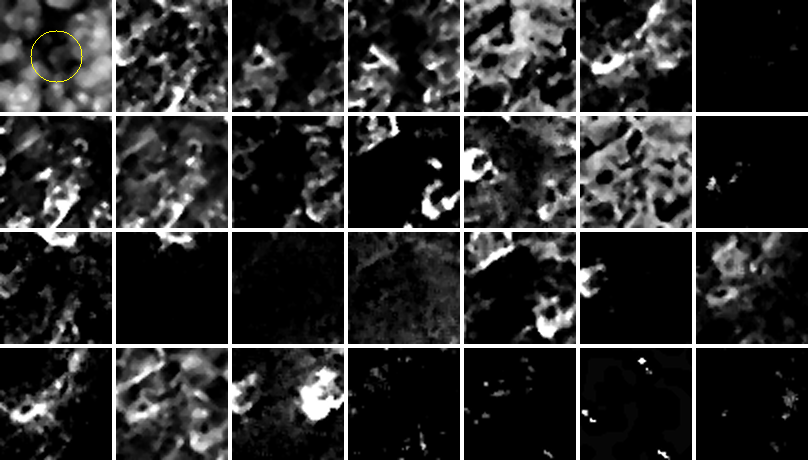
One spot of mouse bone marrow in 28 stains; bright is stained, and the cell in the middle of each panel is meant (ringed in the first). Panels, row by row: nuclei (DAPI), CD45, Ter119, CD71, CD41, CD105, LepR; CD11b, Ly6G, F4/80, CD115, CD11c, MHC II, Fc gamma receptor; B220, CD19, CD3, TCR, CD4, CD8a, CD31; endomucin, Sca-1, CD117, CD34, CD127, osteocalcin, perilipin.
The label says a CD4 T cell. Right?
Wrong: this is a megakaryocyte progenitor.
